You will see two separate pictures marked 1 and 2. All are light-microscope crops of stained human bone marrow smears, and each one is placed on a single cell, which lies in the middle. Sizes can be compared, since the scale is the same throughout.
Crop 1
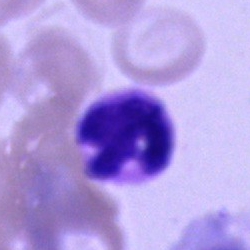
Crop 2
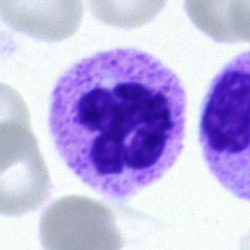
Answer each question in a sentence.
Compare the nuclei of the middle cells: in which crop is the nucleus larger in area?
Larger is the nucleus in crop 2, at roughly 1.5 times the area of the other.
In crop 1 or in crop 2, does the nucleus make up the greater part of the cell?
Of the two, the nucleus in crop 1 makes up the greater part of its cell.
